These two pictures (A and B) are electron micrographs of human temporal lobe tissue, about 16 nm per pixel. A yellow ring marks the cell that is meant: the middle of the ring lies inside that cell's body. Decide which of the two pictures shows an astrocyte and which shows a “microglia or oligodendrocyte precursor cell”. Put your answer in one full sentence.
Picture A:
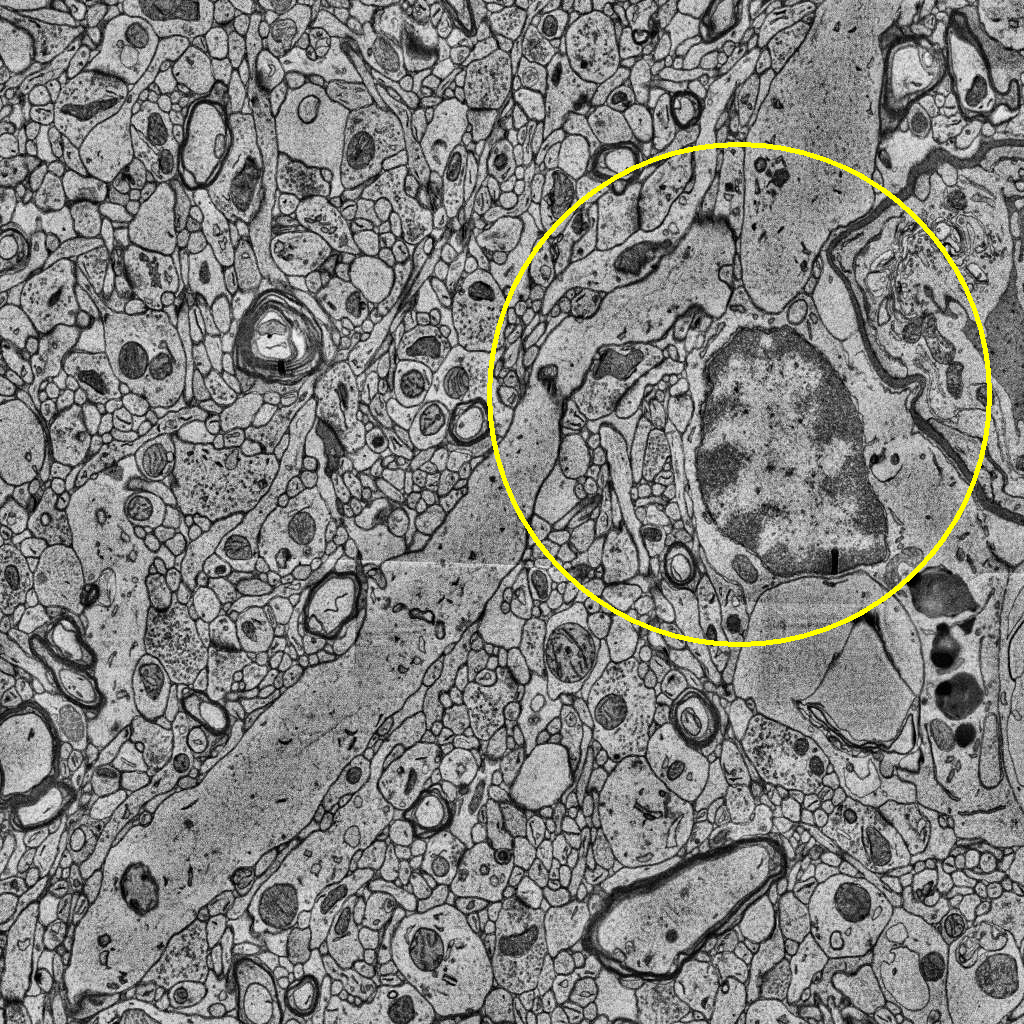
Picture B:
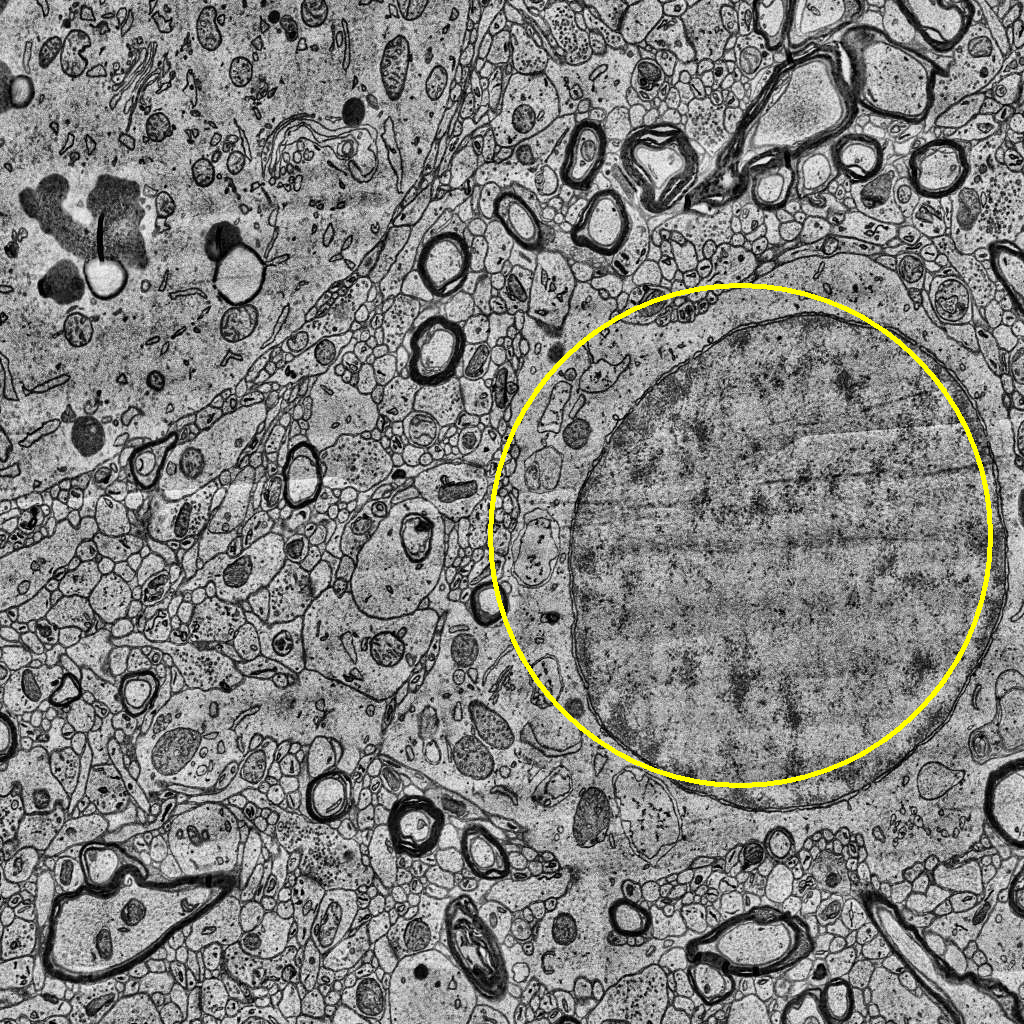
Picture B shows an astrocyte, while picture A shows a “microglia or oligodendrocyte precursor cell”.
